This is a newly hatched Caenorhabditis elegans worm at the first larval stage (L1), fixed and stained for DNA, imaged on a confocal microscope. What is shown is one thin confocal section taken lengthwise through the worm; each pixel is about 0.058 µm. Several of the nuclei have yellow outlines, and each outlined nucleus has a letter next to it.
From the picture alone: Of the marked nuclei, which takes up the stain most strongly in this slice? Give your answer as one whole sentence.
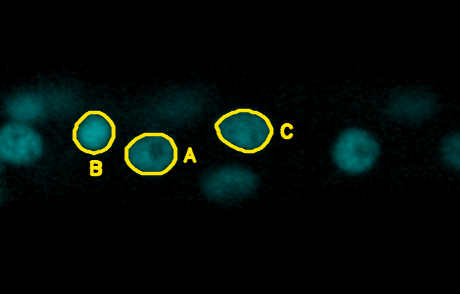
B is the most strongly stained.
